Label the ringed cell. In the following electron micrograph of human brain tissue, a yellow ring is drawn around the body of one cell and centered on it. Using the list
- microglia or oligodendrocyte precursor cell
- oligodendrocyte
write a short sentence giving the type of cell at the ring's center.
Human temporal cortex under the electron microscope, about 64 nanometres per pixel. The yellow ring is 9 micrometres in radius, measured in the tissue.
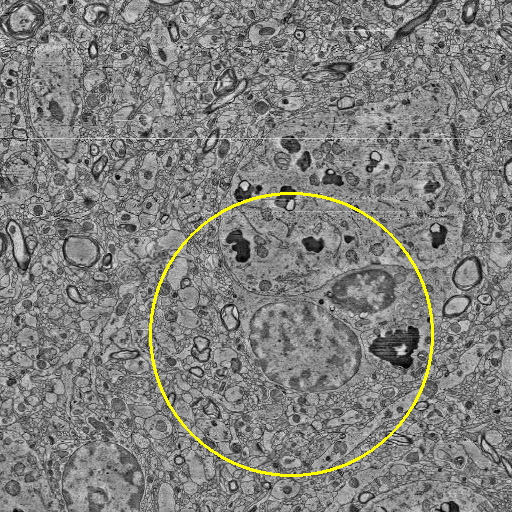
The cell body at the ring's center is that of an oligodendrocyte.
